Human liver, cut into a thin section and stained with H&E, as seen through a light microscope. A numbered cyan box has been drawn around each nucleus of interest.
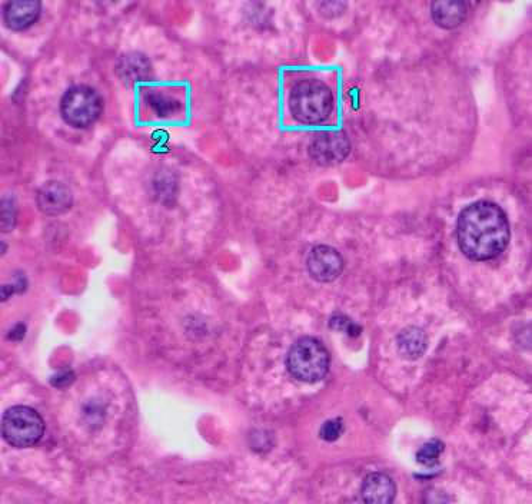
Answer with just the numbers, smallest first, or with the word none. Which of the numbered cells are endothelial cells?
2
